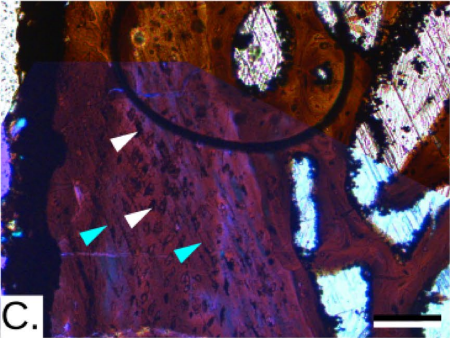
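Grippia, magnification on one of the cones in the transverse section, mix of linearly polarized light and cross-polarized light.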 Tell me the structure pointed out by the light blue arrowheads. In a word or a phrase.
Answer: Sharpey’s fibres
